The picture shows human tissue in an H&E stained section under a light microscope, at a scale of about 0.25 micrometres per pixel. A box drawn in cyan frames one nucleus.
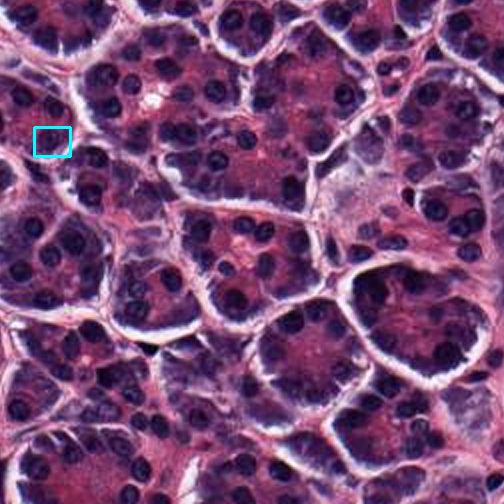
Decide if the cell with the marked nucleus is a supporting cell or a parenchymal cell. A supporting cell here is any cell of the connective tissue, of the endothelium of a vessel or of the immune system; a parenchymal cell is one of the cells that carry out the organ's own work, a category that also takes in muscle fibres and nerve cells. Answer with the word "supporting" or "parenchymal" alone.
parenchymal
